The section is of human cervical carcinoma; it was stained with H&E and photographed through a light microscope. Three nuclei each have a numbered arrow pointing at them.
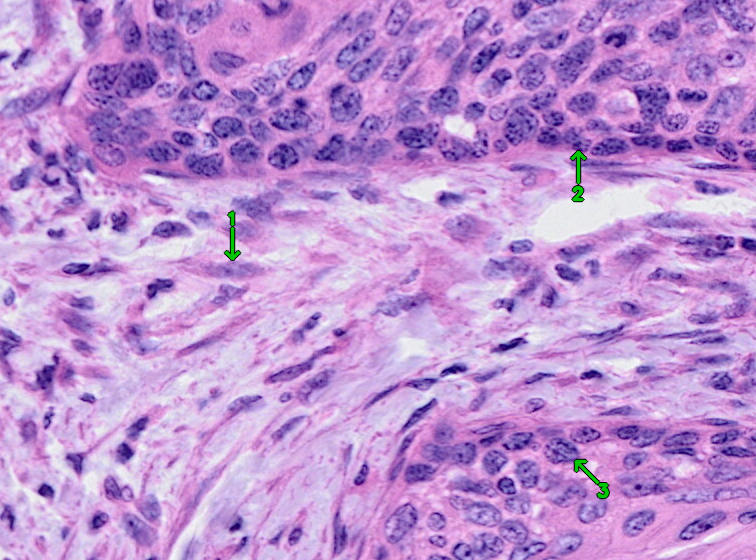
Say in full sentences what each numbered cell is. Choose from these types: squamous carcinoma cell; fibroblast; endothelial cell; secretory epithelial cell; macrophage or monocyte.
Cell 1 is a fibroblast, cell 2 is a squamous carcinoma cell and cell 3 is a squamous carcinoma cell.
